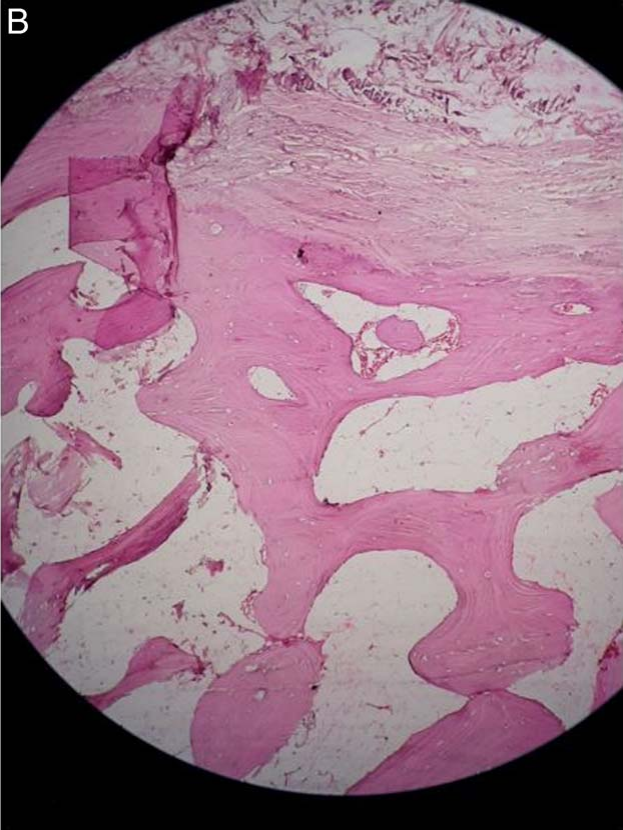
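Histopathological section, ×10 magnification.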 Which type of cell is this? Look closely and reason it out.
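Broad pink bony trabeculae with lamellar lines. Small scattered lacunae within the pink bone matrix. On this evidence: osteocytes.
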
